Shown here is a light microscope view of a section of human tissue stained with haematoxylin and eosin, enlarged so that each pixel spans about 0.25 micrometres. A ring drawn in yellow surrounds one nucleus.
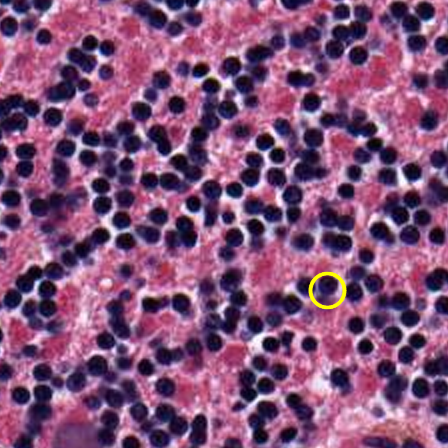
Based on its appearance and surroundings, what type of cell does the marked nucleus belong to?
cerebellar granule cell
